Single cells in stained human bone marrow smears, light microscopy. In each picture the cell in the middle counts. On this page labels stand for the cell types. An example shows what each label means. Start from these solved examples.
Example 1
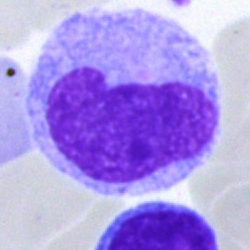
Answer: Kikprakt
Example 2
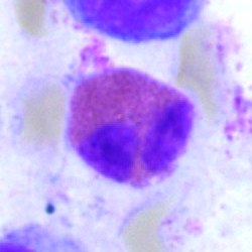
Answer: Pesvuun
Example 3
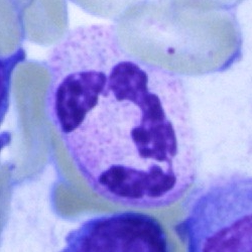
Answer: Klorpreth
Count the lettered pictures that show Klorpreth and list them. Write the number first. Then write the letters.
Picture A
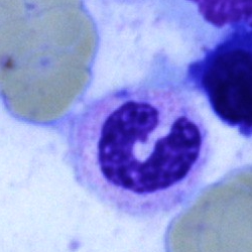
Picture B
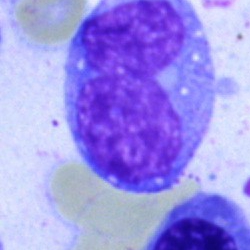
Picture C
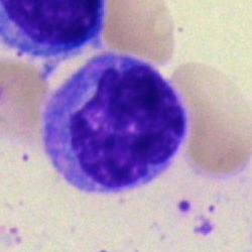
1, namely A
